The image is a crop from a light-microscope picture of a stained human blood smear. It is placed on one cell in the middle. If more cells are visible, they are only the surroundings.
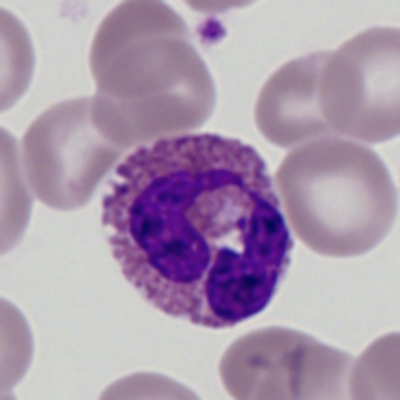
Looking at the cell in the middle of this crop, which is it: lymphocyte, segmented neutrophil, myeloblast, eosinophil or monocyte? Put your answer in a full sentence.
The cell found in the middle of this crop is an eosinophil.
